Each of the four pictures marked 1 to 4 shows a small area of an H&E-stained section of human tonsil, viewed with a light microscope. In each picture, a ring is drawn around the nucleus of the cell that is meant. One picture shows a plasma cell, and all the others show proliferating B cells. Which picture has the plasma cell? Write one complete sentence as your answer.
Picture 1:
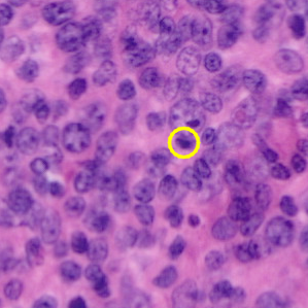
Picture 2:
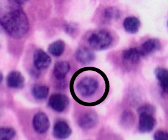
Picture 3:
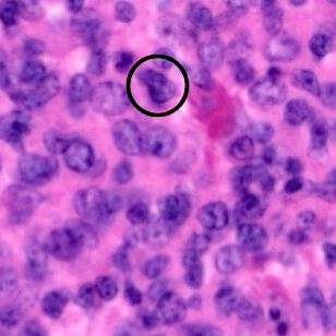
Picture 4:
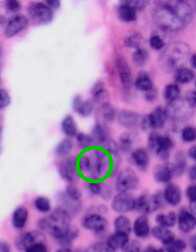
The picture with the plasma cell is 2.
